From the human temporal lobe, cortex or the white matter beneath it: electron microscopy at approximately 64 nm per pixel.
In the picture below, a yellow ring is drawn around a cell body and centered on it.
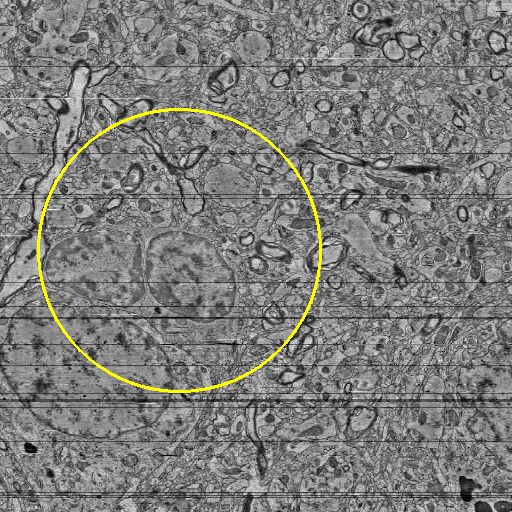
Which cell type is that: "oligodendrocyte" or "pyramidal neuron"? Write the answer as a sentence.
The cell centered in the ring is an oligodendrocyte.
